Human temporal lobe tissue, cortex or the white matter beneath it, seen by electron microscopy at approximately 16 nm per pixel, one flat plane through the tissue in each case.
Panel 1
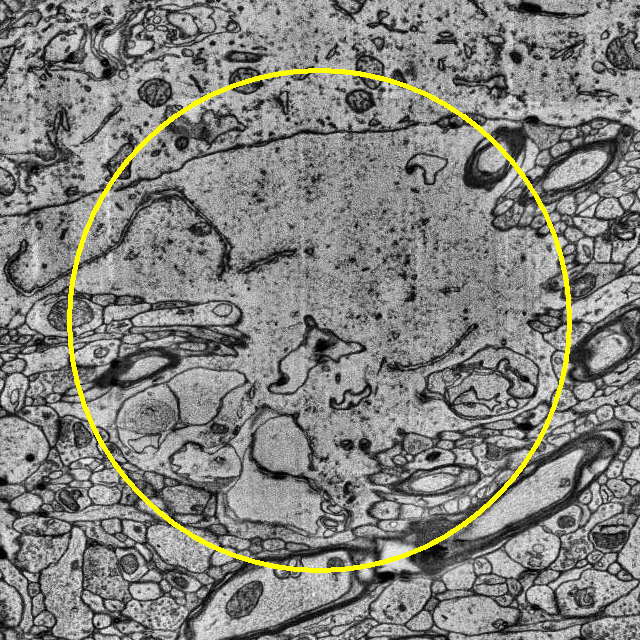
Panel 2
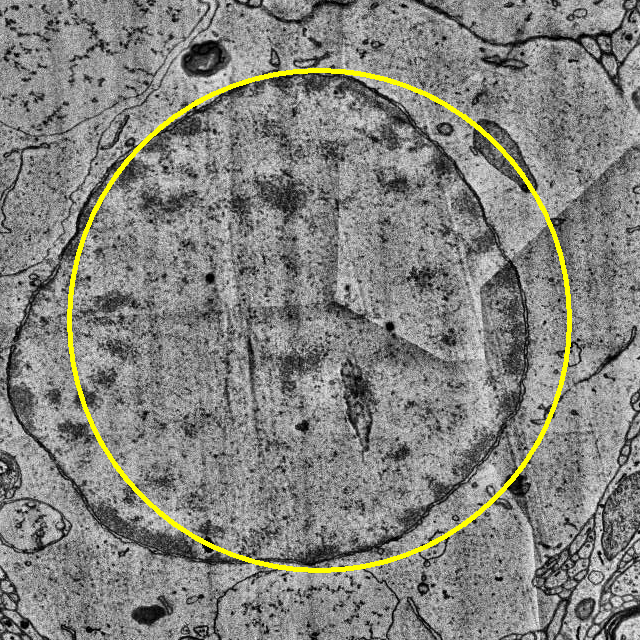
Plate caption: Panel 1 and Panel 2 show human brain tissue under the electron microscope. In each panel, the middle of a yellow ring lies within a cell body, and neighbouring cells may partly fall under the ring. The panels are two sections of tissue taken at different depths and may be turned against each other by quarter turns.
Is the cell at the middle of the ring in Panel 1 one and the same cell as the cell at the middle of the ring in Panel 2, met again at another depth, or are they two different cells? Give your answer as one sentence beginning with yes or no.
No, the rings single out two cells that are separate from each other.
